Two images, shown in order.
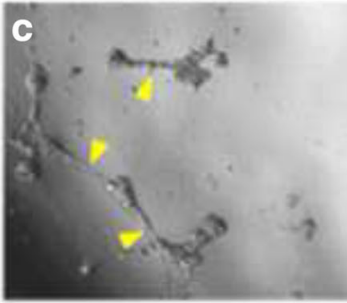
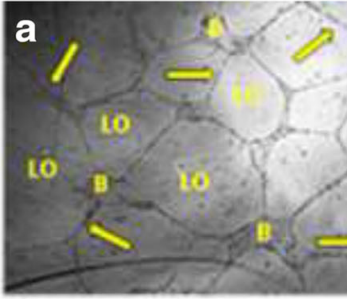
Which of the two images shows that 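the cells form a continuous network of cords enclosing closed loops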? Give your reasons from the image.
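Second image: thin cellular cords connect into a mesh that encloses many polygonal spaces.
The second image.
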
